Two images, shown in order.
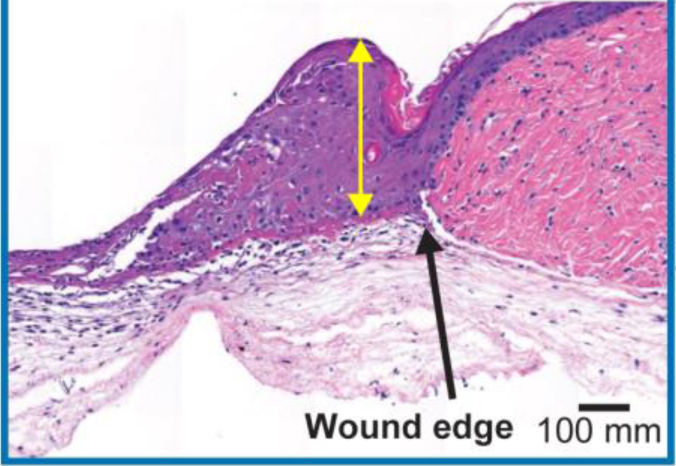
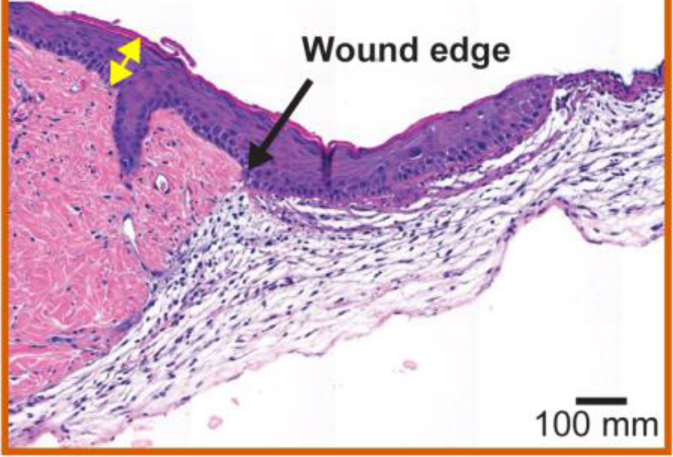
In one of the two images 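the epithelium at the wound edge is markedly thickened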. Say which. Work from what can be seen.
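First image: the purple epithelium at the wound edge forms a thick mound many cell layers deep. Second image: the purple epithelium over the wound edge is a comparatively thin layer. So: the first image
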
